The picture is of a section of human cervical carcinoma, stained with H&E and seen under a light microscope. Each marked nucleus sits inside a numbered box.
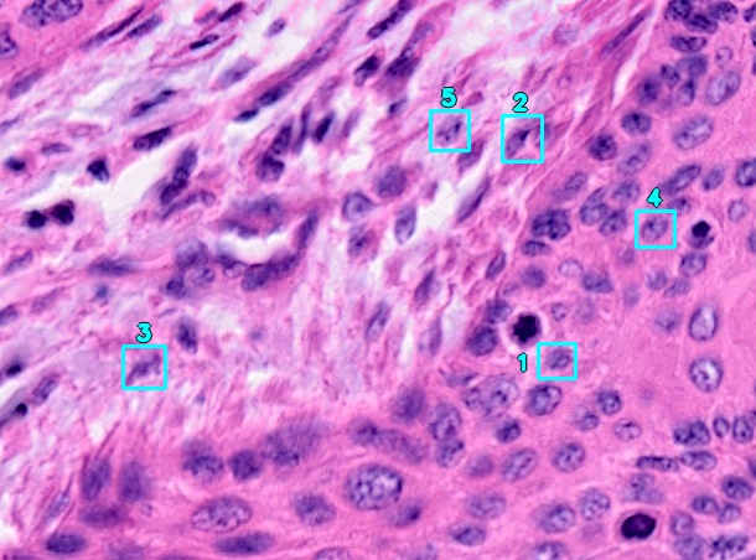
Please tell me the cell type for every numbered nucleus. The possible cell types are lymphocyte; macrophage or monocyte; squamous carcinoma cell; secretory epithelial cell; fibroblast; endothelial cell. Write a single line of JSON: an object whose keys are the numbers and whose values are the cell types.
{"1": "squamous carcinoma cell", "2": "fibroblast", "3": "fibroblast", "4": "squamous carcinoma cell", "5": "fibroblast"}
